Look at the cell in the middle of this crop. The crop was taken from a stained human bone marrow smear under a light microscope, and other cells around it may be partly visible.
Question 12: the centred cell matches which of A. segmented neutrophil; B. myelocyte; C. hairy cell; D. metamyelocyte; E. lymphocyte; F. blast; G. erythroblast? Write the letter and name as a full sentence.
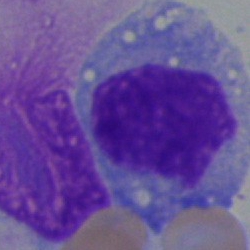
Option F is correct, naming the cell in the middle as a blast.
